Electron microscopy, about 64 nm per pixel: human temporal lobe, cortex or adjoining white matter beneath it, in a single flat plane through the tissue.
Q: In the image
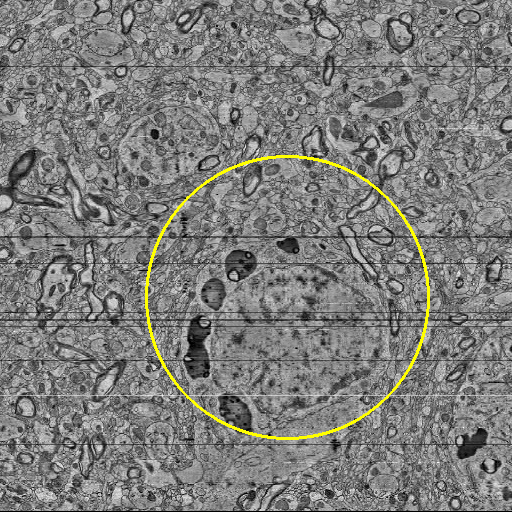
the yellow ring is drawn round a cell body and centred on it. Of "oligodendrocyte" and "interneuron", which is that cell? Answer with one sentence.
The cell centred in the ring is an interneuron.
